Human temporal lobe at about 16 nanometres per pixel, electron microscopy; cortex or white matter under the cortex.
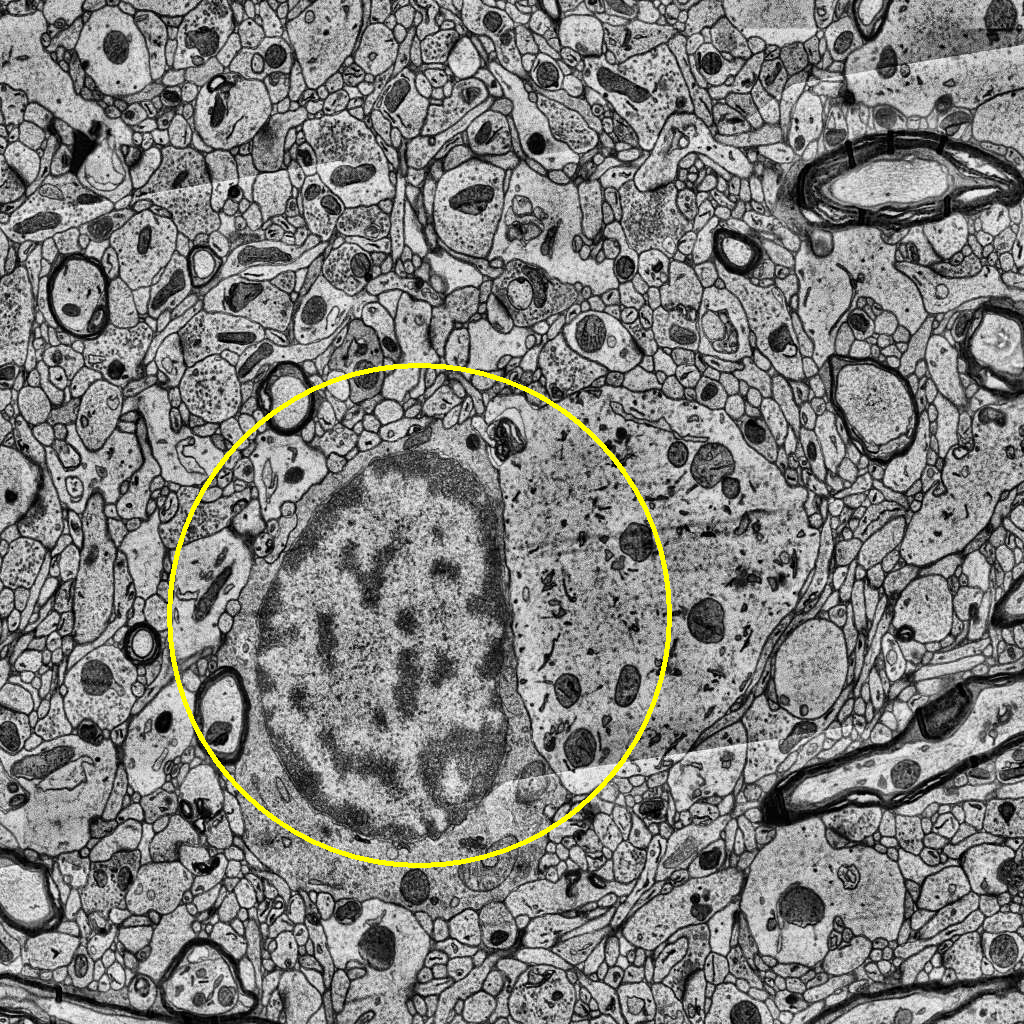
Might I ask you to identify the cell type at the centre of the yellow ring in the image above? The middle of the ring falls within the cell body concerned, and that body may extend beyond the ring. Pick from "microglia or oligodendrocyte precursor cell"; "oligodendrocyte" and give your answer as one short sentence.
The centre of the ring falls on an oligodendrocyte.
